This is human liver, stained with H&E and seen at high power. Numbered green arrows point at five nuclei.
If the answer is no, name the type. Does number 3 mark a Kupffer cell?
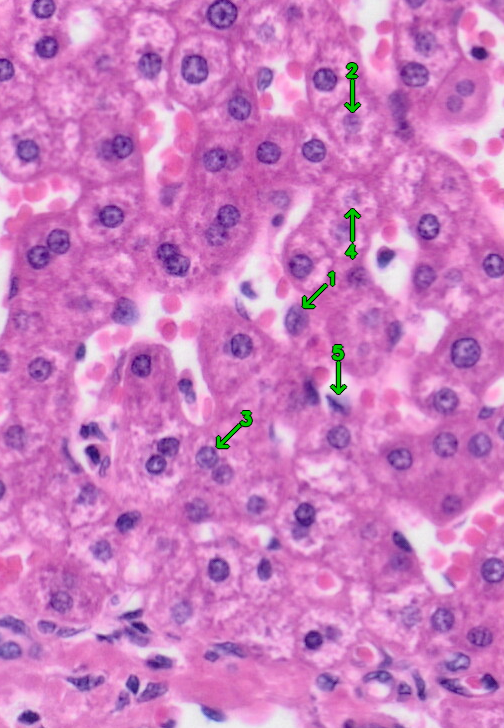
No, it is a hepatocyte.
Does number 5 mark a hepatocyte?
No, it is an endothelial cell.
